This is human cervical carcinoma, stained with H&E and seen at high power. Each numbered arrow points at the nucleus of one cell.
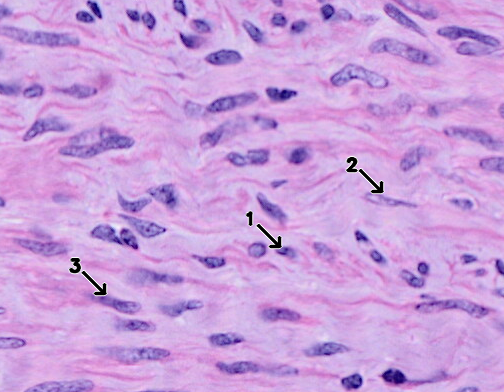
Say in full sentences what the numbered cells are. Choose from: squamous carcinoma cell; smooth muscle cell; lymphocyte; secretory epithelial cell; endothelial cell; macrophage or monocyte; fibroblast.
Cells 1 and 3 are smooth muscle cells. Cell 2 is a fibroblast.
